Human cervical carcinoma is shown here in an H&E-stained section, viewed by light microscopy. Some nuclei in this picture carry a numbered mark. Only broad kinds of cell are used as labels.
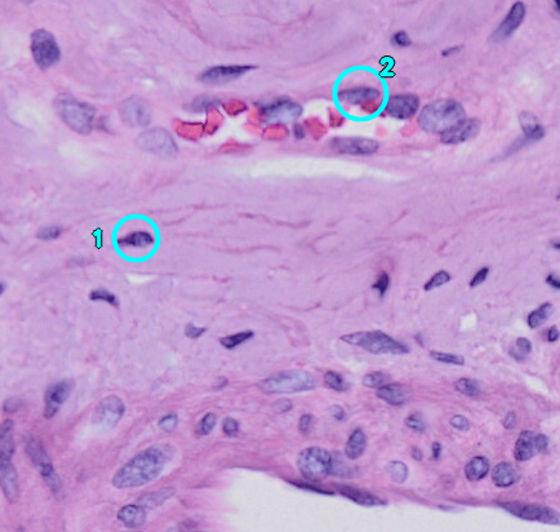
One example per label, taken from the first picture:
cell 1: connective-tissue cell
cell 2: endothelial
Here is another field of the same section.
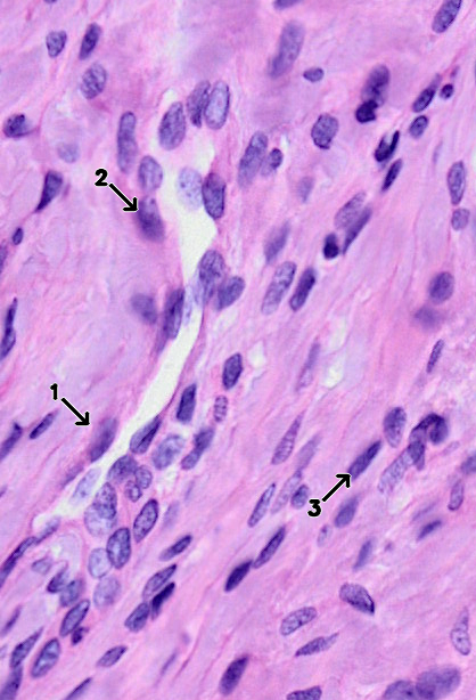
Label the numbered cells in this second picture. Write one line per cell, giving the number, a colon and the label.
1: endothelial
2: endothelial
3: connective-tissue cell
